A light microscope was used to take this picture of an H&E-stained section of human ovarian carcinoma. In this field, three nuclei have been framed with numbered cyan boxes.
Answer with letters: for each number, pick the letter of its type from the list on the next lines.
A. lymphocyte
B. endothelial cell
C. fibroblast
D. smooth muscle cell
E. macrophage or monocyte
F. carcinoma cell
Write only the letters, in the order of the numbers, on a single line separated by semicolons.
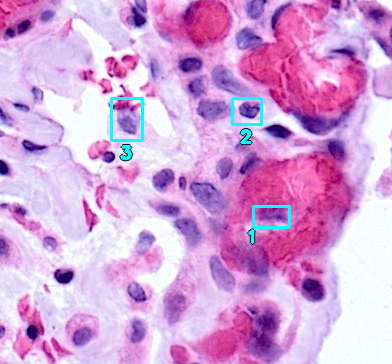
B; A; B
